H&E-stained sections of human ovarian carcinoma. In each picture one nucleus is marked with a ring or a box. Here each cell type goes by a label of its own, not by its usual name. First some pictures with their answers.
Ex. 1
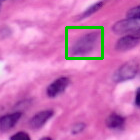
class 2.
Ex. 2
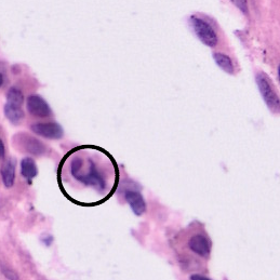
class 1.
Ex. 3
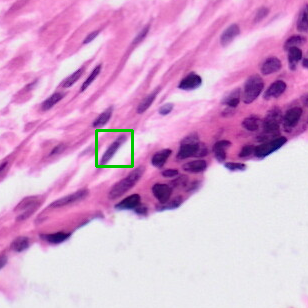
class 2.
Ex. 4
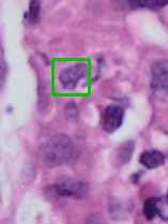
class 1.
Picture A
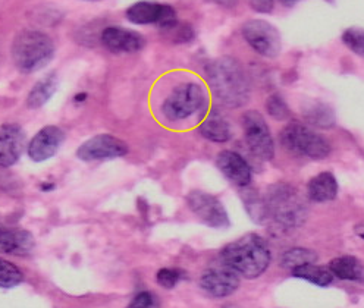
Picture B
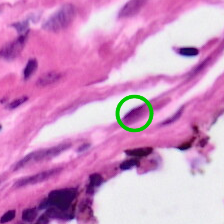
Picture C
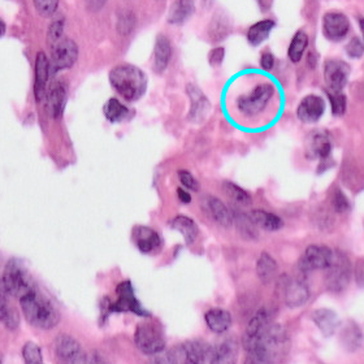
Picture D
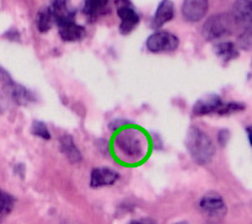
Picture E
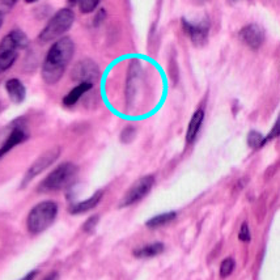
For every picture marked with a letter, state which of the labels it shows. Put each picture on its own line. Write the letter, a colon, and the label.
A: class 1.
B: class 2.
C: class 1.
D: class 1.
E: class 2.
